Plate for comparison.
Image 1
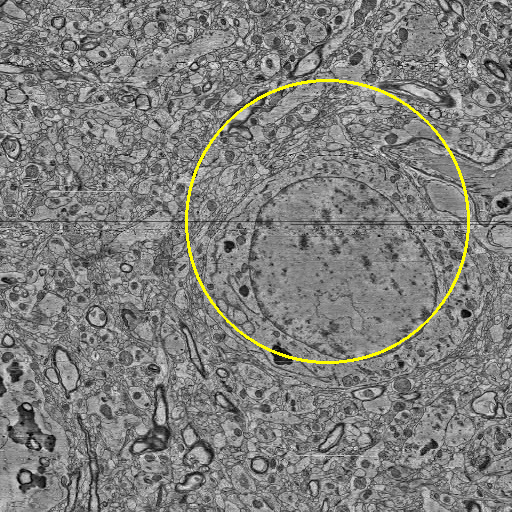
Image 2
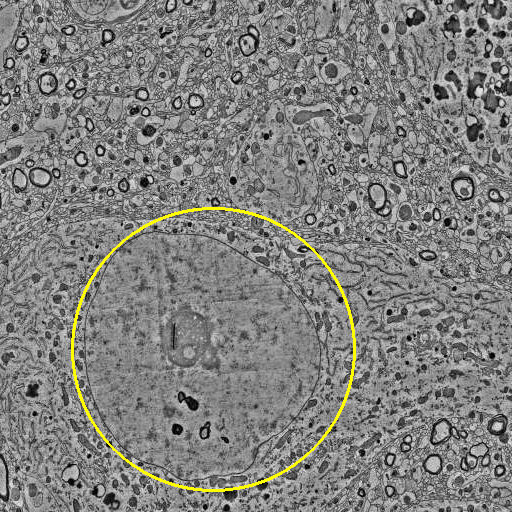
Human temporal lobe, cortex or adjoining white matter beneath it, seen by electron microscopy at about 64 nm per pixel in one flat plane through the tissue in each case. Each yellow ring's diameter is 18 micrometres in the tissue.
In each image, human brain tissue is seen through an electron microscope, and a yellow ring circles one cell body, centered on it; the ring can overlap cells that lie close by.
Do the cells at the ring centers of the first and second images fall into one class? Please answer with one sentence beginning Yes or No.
Yes, the first and second images show a single class of cell at the ring centers.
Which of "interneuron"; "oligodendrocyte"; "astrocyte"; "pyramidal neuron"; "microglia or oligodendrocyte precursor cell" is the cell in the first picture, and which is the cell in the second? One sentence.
In both pictures the ring is centred on a pyramidal neuron.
